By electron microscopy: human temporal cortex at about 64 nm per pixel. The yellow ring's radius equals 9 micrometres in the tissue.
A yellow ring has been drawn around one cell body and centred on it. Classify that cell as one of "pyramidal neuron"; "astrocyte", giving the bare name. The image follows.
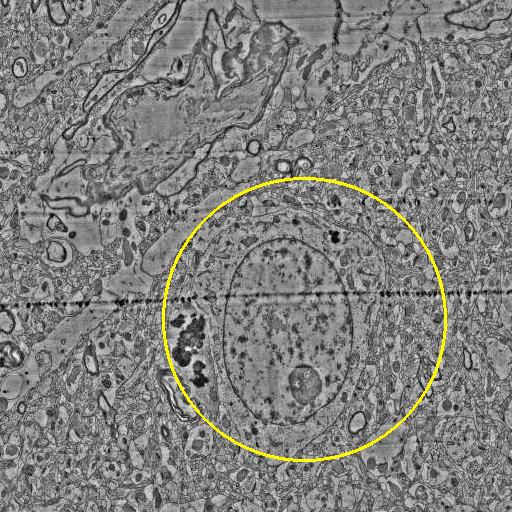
pyramidal neuron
